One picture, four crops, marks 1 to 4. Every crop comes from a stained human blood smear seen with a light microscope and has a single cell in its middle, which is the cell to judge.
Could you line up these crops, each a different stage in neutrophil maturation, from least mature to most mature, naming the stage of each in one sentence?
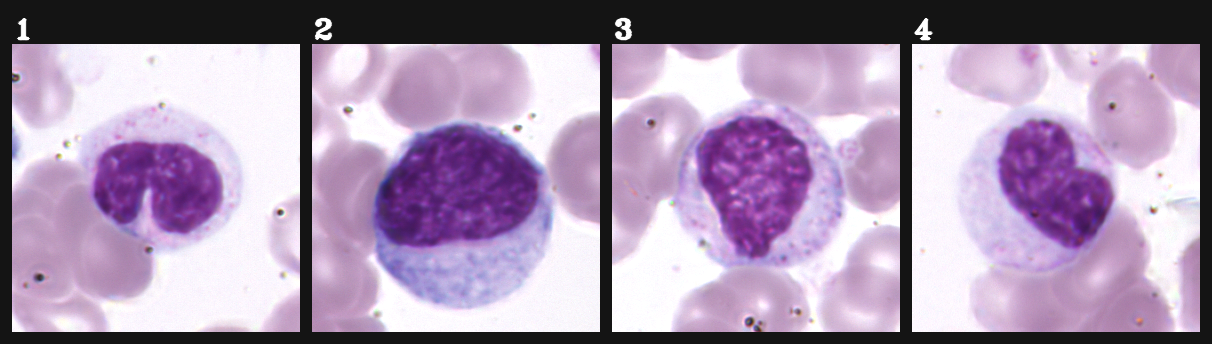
The progression from least to most mature runs crop 2 (a promyelocyte), crop 3 (a myelocyte), crop 4 (a metamyelocyte) and crop 1 (a band neutrophil).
